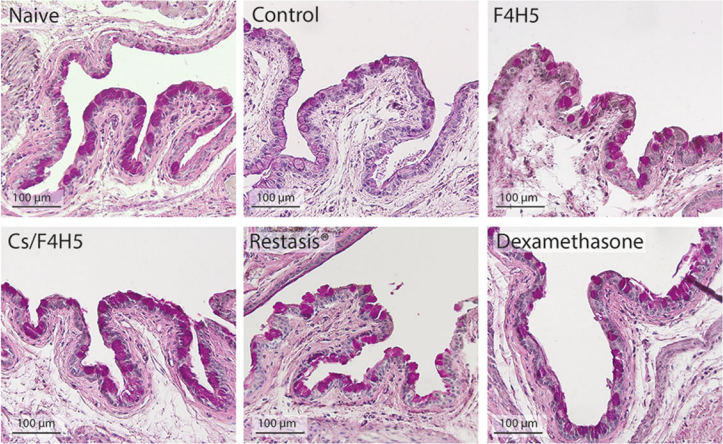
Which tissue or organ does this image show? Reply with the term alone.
Conjunctival.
